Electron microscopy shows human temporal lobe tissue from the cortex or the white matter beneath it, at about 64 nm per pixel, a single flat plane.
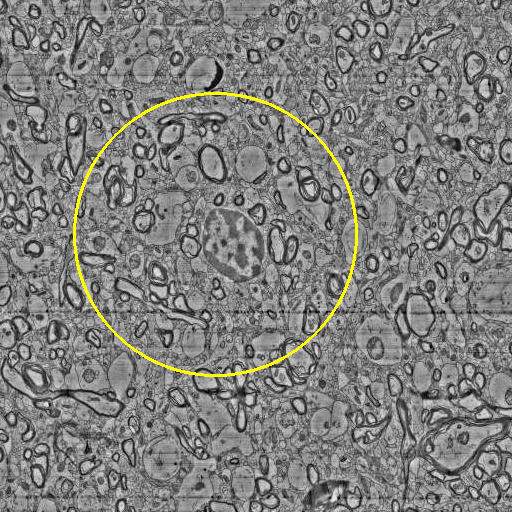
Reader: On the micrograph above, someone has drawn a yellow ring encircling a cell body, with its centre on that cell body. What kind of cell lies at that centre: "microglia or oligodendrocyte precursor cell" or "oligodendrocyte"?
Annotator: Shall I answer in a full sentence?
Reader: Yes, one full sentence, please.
Here a microglial cell or oligodendrocyte precursor cell sits at the centre of the yellow ring drawn on the micrograph.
